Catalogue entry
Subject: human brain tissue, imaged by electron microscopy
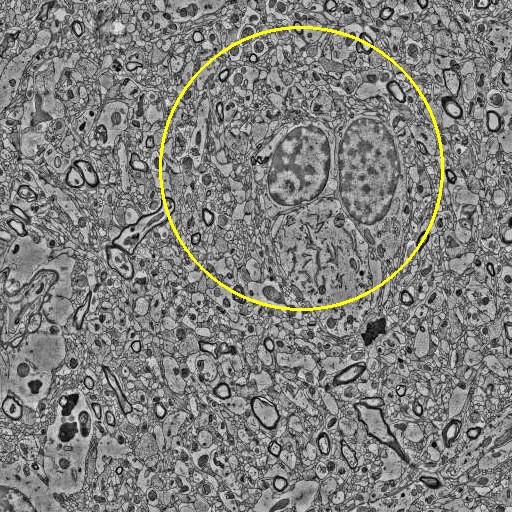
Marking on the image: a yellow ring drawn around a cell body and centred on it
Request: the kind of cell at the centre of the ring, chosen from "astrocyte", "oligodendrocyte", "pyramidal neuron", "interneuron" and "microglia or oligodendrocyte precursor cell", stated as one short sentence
The ring has a microglial cell or oligodendrocyte precursor cell at its centre.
